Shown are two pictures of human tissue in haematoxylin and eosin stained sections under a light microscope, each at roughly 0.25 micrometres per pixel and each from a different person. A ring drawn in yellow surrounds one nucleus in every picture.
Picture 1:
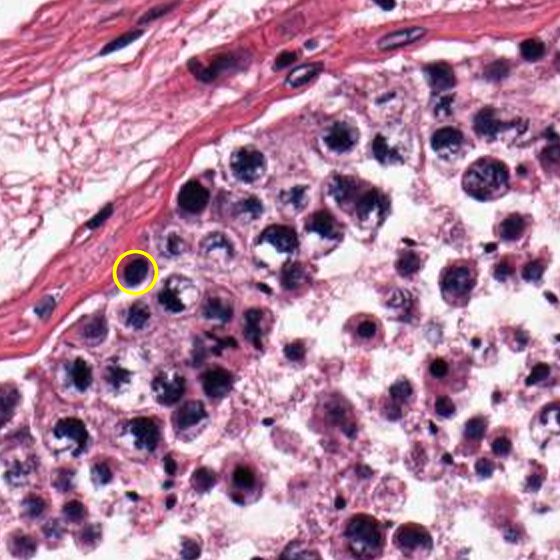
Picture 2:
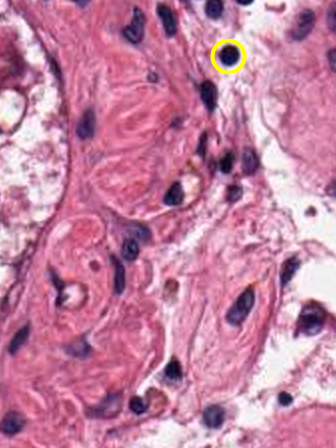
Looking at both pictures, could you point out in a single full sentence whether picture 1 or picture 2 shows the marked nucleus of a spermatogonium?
Nowhere but in picture 1 does the marked nucleus belong to a spermatogonium.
